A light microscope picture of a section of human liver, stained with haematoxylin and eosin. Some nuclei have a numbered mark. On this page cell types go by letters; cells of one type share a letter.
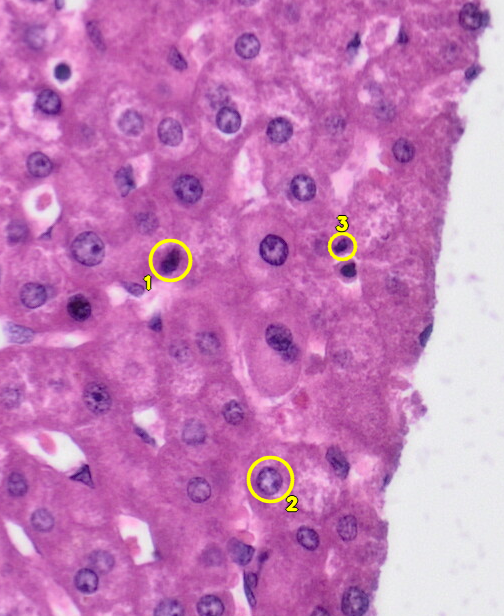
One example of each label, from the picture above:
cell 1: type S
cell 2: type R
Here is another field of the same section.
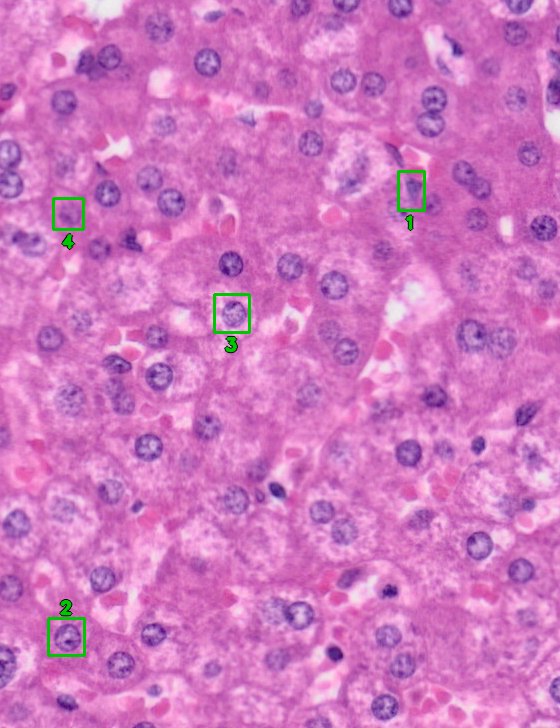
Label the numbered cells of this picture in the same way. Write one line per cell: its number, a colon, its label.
1: type S
2: type R
3: type R
4: type R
